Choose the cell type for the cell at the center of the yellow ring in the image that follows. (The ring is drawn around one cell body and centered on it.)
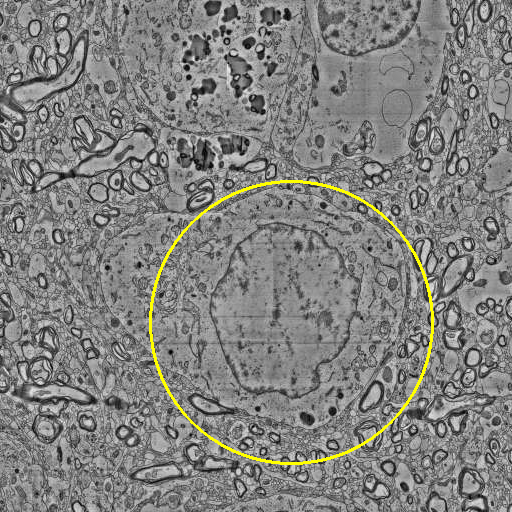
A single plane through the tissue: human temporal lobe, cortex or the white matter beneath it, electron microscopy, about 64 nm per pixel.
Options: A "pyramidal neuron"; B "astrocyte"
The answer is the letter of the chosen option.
A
